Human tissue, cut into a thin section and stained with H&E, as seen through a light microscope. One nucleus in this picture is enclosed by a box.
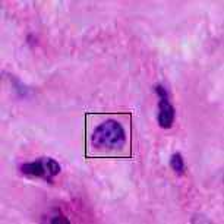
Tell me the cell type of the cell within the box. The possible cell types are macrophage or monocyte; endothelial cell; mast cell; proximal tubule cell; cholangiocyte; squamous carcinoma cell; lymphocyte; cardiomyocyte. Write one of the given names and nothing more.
mast cell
